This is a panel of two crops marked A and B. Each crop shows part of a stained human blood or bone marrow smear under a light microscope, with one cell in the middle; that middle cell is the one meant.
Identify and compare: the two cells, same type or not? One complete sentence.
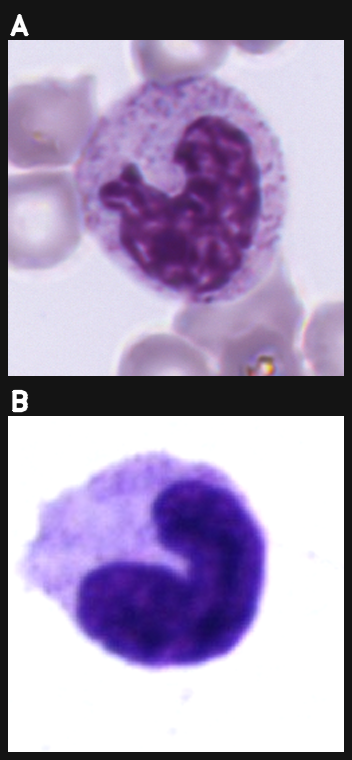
Yes, the central cells, in both crops, are band neutrophils.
